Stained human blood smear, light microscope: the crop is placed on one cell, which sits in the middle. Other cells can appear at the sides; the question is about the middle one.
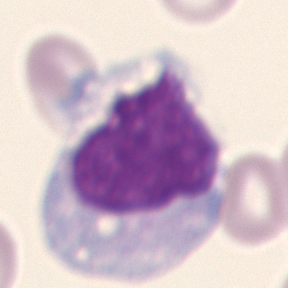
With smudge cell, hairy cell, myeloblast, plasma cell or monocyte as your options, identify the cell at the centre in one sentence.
The crop centres on a single cell, and that cell is a monocyte.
